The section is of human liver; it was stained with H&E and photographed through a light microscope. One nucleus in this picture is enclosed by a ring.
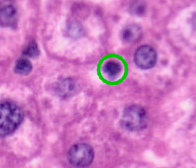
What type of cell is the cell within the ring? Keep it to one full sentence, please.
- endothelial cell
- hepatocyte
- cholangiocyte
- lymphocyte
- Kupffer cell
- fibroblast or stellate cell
Speaking plainly, the cell within the ring is nothing other than a lymphocyte.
